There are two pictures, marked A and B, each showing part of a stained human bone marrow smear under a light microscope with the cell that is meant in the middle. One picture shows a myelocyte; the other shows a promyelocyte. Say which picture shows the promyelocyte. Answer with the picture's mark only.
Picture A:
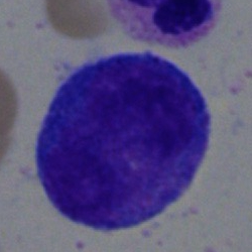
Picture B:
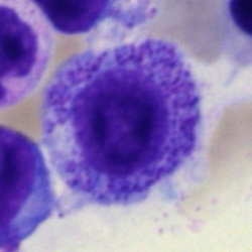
A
